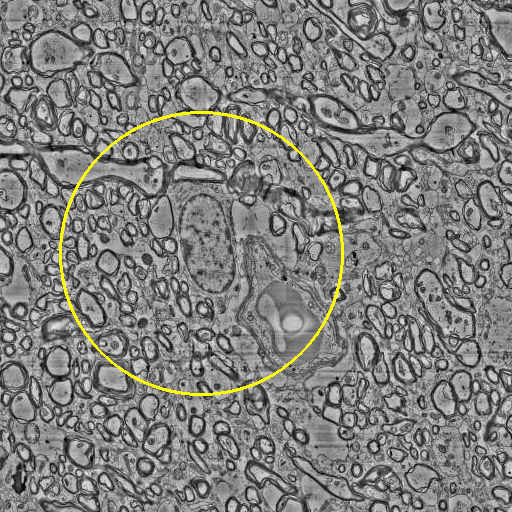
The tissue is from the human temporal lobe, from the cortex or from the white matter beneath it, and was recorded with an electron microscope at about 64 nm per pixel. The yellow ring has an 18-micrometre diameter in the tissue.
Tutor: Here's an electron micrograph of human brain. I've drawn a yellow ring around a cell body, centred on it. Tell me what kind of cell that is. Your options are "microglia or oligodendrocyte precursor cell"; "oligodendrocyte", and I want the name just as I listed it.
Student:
microglia or oligodendrocyte precursor cell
